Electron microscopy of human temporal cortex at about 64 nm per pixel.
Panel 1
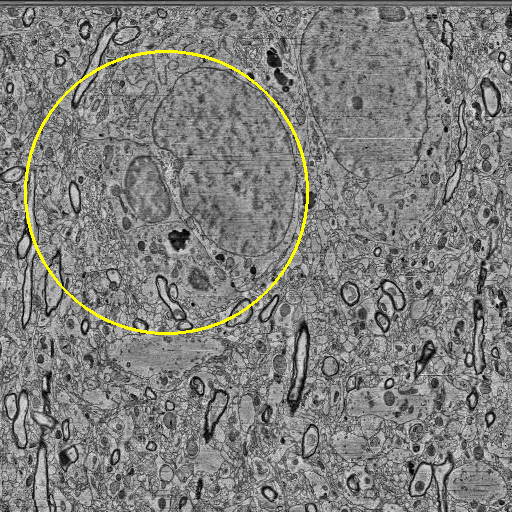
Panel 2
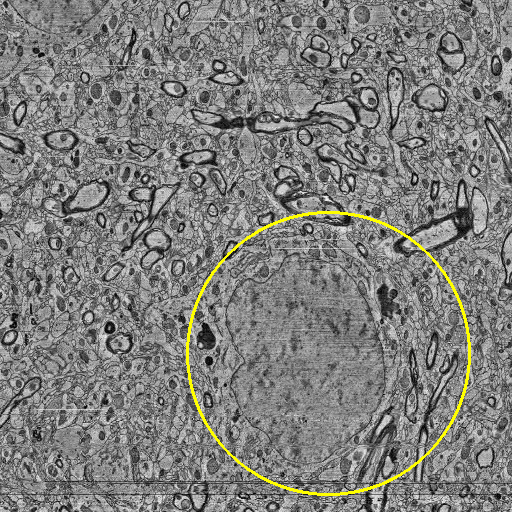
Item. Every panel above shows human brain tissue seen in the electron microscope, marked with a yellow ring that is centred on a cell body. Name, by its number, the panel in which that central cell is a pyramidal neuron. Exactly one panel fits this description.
2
